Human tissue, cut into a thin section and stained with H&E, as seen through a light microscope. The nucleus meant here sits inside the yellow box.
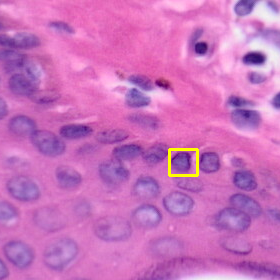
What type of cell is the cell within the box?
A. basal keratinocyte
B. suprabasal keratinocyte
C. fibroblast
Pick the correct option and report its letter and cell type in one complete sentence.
Option A is correct in that the cell within the box is a basal keratinocyte.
